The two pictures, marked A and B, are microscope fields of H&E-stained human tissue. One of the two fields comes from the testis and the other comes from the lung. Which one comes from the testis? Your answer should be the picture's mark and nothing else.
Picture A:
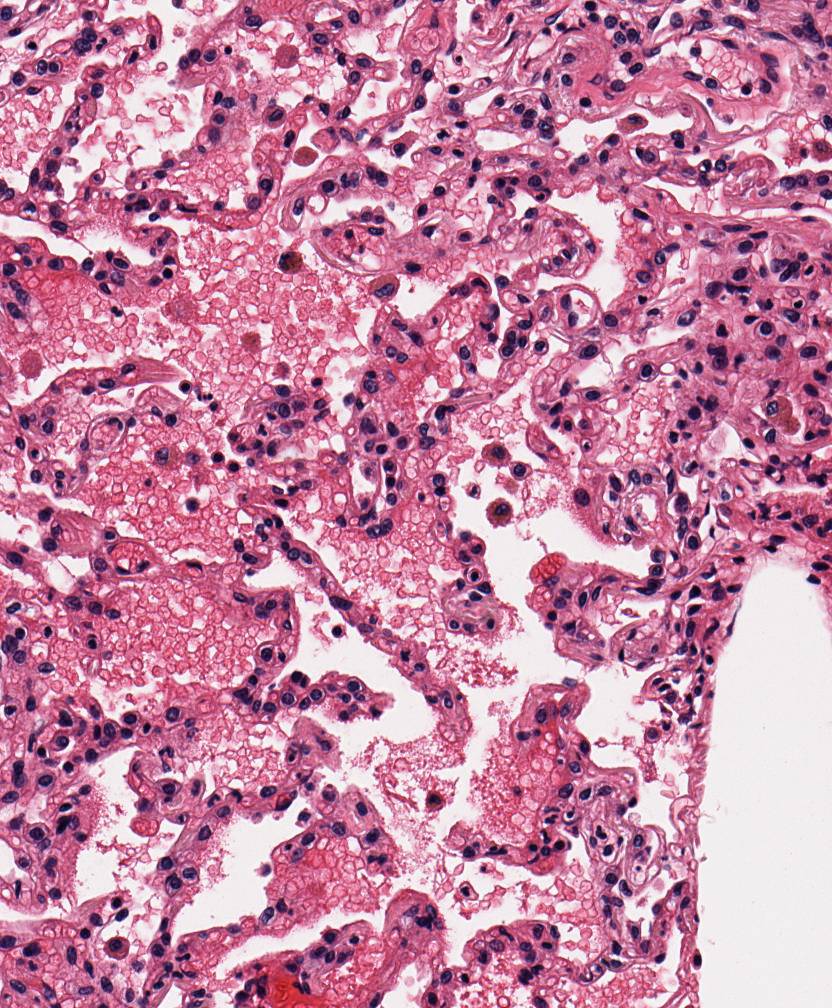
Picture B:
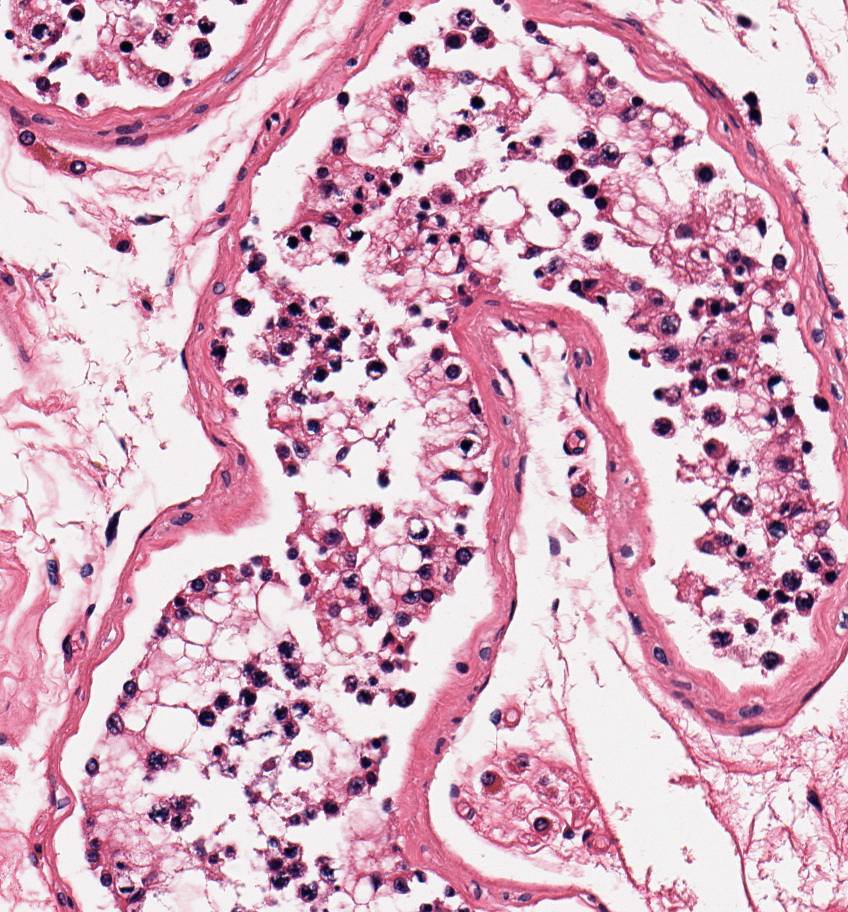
B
